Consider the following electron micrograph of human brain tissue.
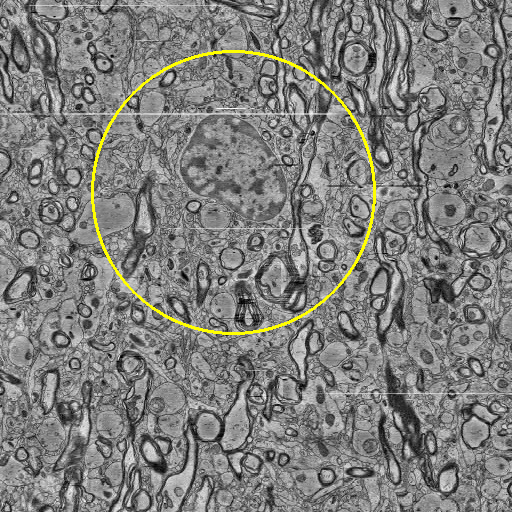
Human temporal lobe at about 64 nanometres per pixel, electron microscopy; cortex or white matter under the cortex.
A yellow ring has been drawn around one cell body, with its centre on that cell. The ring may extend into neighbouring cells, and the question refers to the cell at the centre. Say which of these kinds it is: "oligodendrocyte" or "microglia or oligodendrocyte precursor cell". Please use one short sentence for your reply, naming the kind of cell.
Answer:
The centre of the ring falls on a microglial cell or oligodendrocyte precursor cell.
